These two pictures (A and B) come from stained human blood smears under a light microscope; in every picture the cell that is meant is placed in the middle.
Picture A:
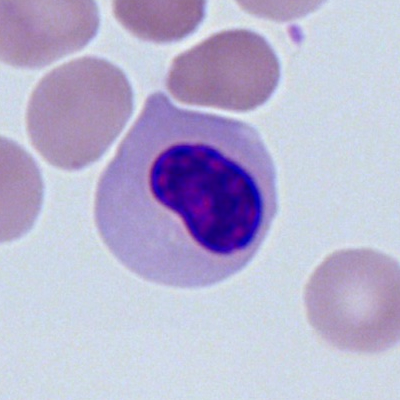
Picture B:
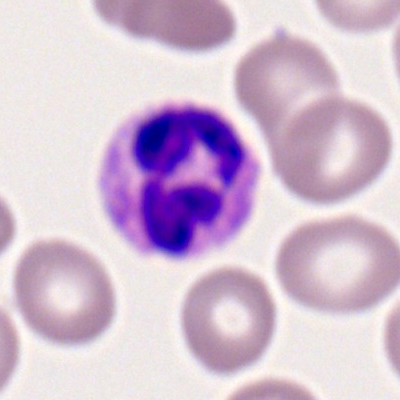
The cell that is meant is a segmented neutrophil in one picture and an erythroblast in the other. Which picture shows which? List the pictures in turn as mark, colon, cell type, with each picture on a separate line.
A: erythroblast
B: segmented neutrophil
